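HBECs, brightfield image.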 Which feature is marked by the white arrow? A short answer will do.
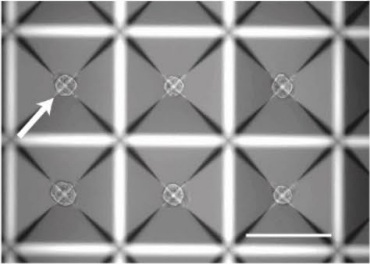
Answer: Aggregate.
